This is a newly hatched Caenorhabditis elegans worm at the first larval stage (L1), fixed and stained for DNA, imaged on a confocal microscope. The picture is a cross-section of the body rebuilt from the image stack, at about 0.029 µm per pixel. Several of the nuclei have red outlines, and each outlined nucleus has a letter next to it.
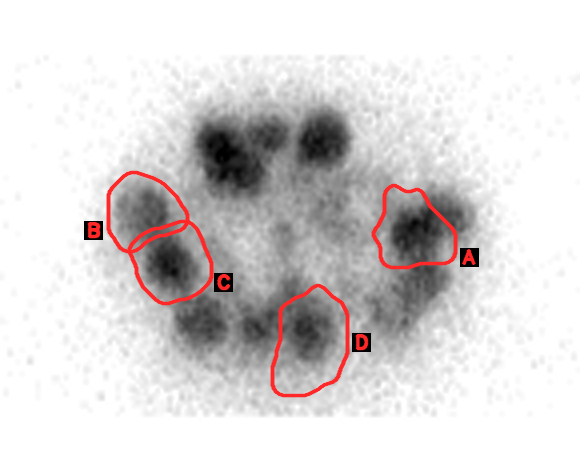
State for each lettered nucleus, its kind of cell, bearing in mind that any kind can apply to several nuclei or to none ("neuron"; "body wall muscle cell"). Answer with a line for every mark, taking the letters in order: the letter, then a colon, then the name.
A: neuron
B: body wall muscle cell
C: neuron
D: neuron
